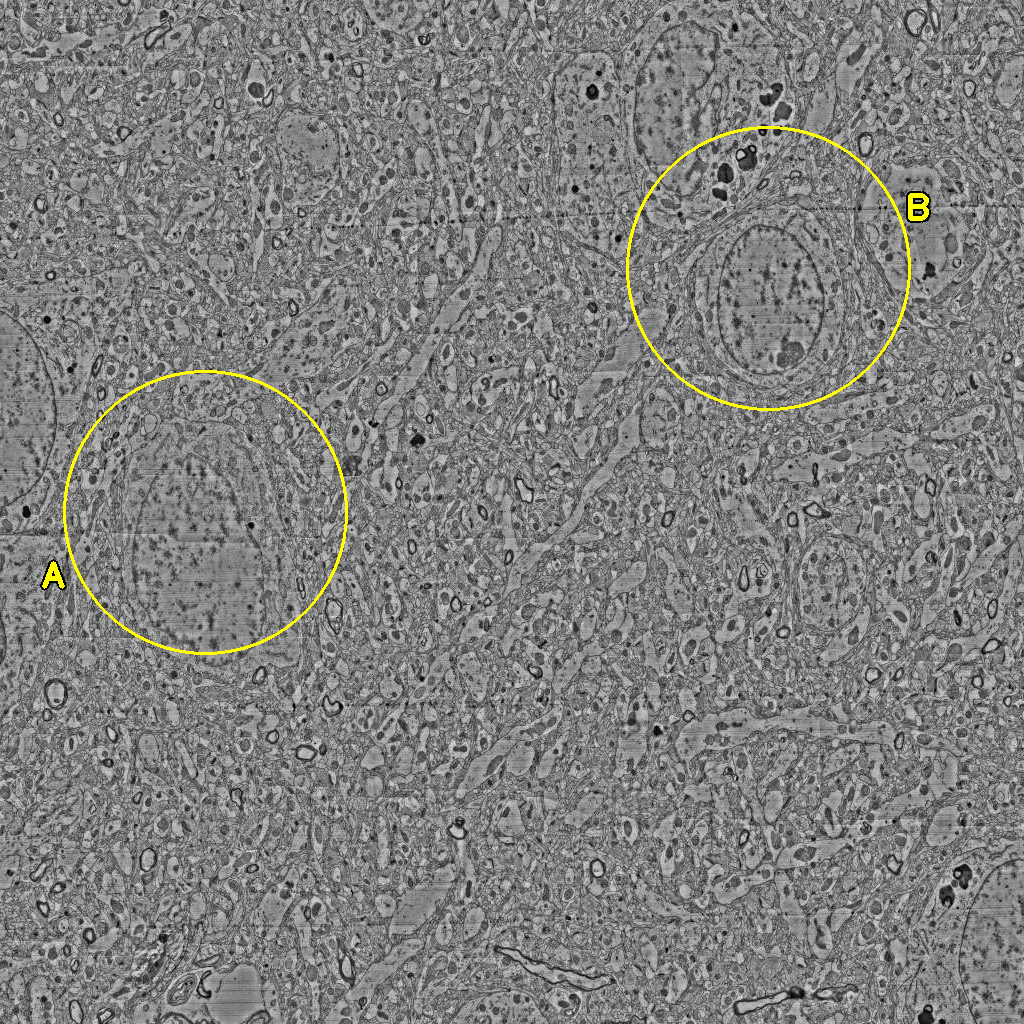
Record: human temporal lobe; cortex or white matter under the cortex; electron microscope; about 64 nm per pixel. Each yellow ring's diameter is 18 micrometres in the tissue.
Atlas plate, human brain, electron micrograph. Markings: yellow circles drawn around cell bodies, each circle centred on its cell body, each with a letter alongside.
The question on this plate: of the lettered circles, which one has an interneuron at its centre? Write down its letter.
A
